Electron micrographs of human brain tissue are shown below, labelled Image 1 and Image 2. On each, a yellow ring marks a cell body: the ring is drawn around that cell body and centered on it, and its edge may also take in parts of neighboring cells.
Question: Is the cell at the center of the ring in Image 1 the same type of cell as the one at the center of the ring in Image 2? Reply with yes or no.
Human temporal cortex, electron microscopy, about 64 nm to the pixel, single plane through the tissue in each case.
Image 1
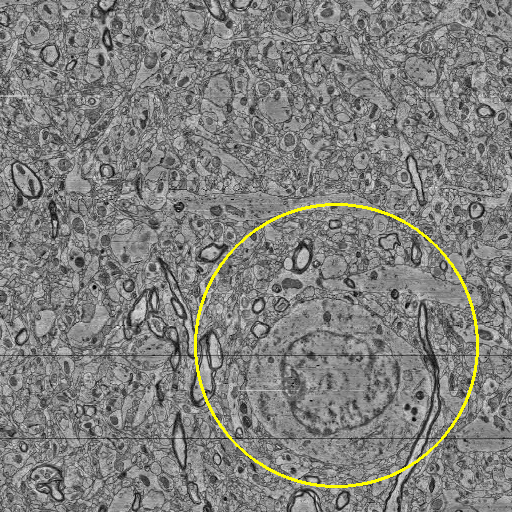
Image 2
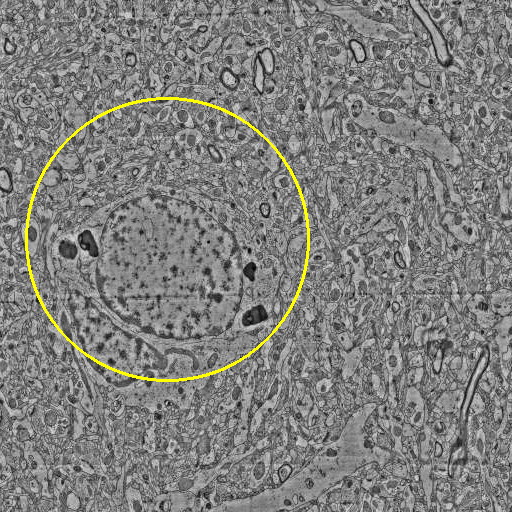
yes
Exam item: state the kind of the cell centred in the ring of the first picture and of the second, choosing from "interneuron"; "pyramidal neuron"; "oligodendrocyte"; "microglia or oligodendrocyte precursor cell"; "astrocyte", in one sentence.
In each picture the ringed cell is an interneuron.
